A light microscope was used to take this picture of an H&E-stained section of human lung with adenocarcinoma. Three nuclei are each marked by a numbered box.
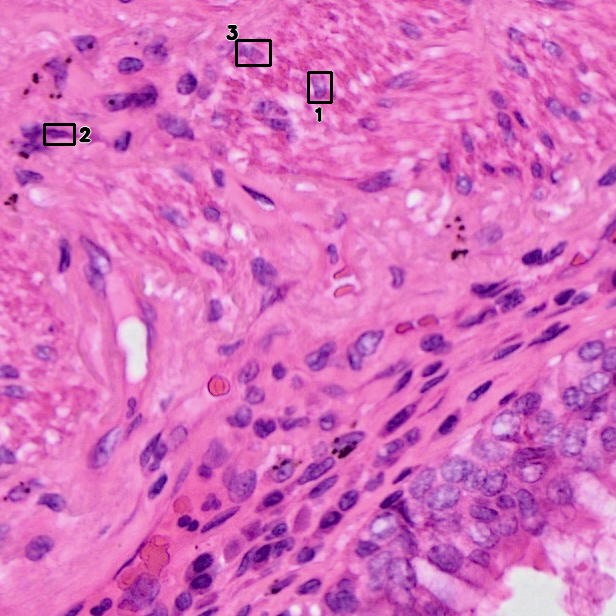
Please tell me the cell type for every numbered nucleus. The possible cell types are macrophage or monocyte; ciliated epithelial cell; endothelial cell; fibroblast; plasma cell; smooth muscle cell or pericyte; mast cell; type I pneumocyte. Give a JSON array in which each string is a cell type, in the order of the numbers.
["smooth muscle cell or pericyte", "plasma cell", "smooth muscle cell or pericyte"]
